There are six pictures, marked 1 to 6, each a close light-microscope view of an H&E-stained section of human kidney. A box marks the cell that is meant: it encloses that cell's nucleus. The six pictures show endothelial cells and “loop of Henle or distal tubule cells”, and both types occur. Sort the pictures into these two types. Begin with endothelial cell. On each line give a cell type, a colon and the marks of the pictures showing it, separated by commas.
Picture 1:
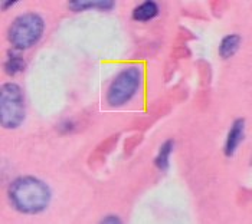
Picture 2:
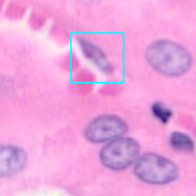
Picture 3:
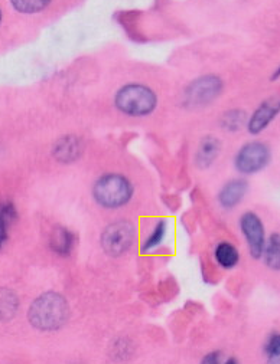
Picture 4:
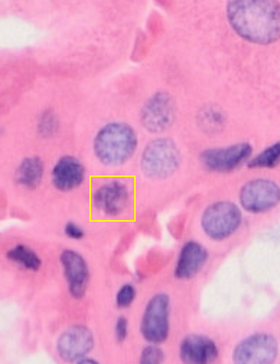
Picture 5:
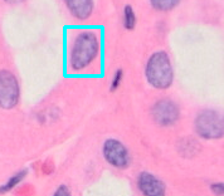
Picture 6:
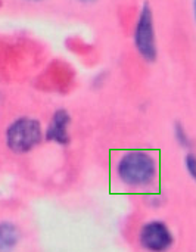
endothelial cell: 2, 3
loop of Henle or distal tubule cell: 1, 4, 5, 6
